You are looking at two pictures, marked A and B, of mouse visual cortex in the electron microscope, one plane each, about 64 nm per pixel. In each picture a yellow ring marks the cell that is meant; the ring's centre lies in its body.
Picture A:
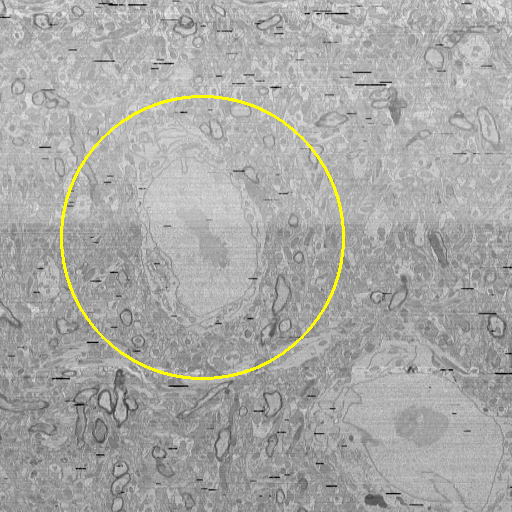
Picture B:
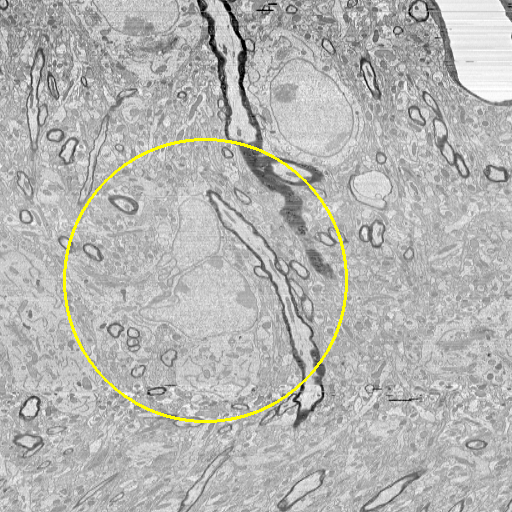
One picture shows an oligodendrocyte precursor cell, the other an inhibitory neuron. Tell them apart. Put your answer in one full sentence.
In picture A the cell is an inhibitory neuron; in picture B, an oligodendrocyte precursor cell.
